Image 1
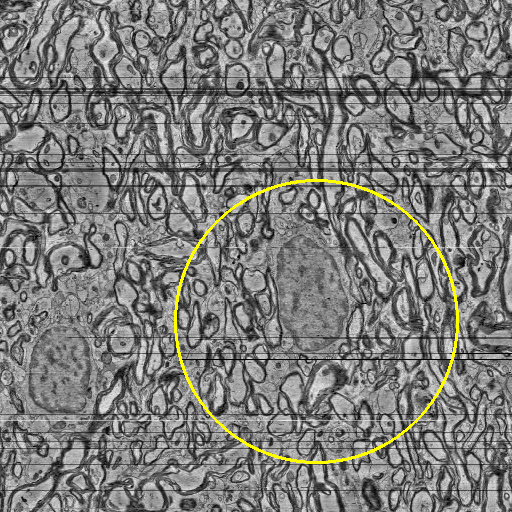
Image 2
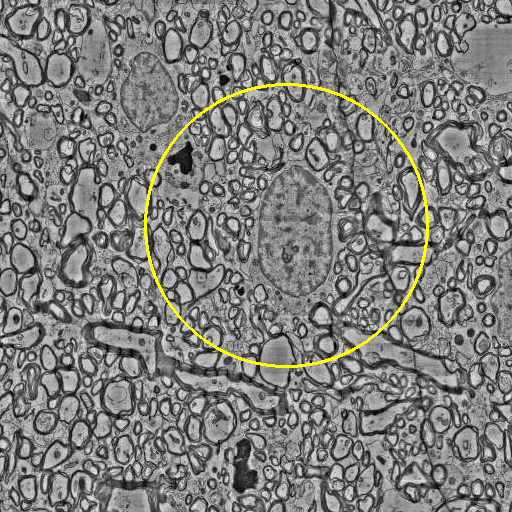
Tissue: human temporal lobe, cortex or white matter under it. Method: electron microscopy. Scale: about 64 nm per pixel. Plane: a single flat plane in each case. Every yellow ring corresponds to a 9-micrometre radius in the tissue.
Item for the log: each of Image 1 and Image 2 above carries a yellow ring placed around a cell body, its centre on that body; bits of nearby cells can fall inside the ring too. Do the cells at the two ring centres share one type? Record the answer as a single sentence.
Yes, the two cells at the ring centres in Image 1 and Image 2 share one type.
